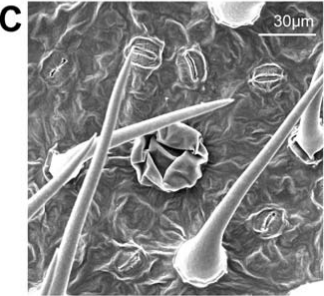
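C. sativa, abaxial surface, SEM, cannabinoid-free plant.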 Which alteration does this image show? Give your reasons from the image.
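In the centre a small structure on the surface is shrivelled and folded inward rather than round. Long, tapering, pointed hairs surround it. So: collapsed sessile glandular trichome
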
